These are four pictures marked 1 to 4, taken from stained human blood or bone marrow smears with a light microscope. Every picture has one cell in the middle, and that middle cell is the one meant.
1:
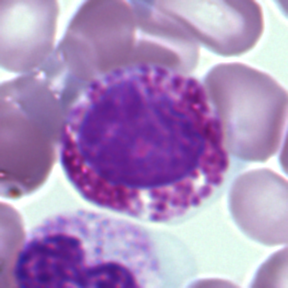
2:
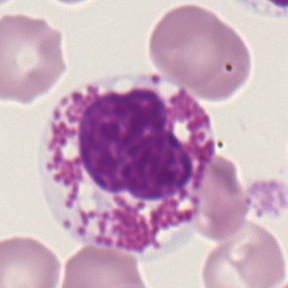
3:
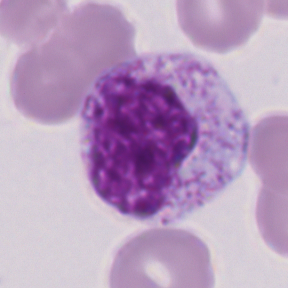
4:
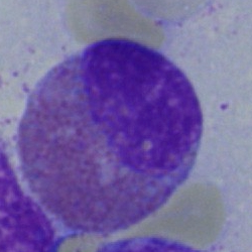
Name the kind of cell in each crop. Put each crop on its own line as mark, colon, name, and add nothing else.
1: eosinophil
2: eosinophil
3: metamyelocyte
4: eosinophil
